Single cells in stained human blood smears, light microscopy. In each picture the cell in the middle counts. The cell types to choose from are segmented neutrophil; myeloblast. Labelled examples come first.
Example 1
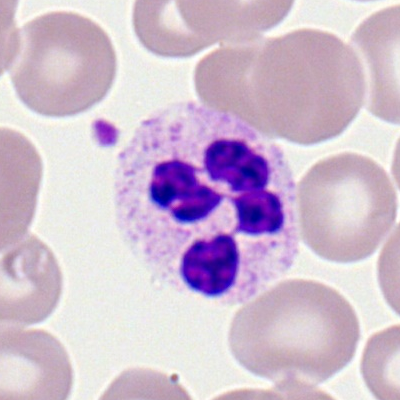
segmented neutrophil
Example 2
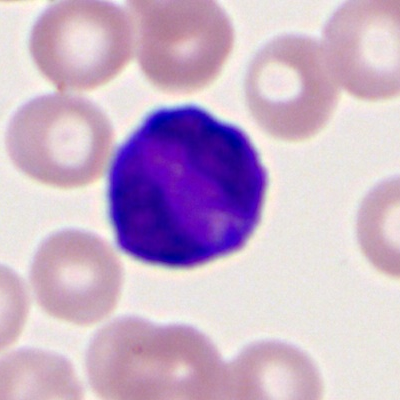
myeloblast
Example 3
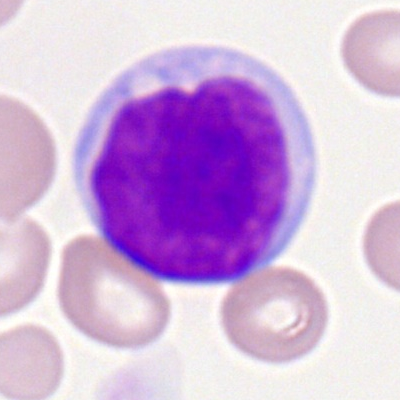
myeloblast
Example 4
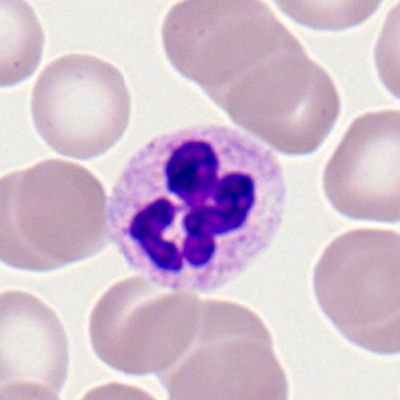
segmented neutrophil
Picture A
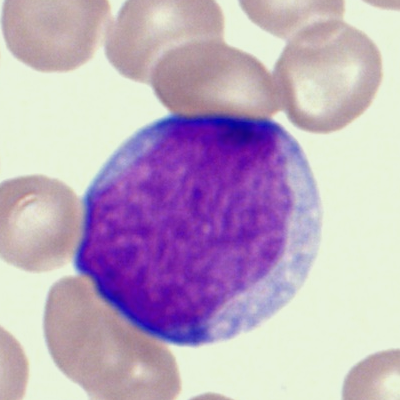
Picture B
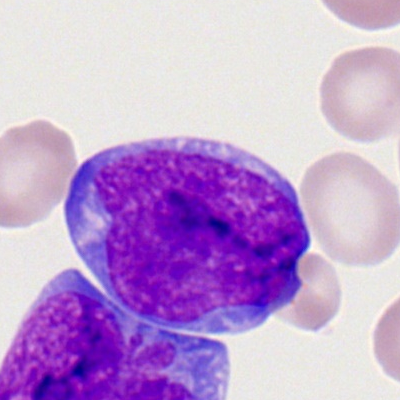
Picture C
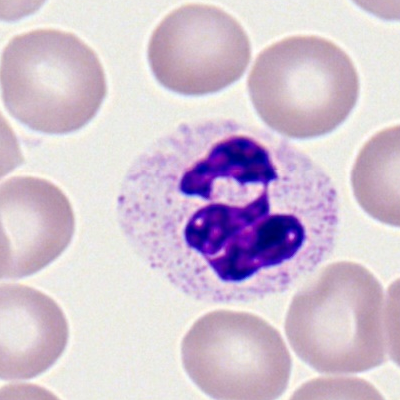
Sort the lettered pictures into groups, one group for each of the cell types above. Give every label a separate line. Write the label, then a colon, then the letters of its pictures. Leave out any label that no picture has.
segmented neutrophil: C
myeloblast: A, B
